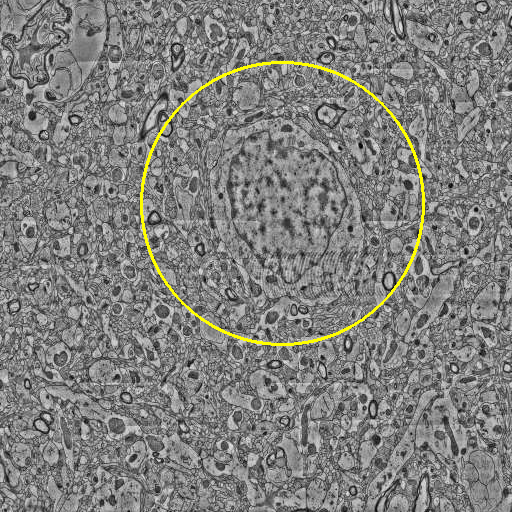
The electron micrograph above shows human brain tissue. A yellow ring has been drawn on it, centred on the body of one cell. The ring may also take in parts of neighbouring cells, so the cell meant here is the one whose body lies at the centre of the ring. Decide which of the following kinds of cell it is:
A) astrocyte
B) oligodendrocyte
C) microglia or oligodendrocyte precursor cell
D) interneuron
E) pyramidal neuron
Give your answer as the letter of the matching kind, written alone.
D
